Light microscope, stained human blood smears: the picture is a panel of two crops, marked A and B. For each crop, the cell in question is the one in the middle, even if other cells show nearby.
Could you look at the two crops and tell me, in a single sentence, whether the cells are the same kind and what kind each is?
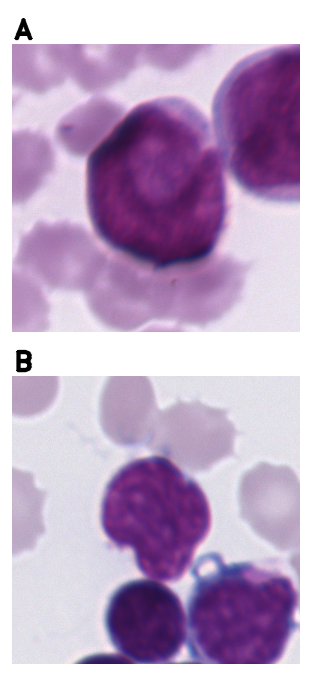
Yes, myeloblasts are shown in both crops.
